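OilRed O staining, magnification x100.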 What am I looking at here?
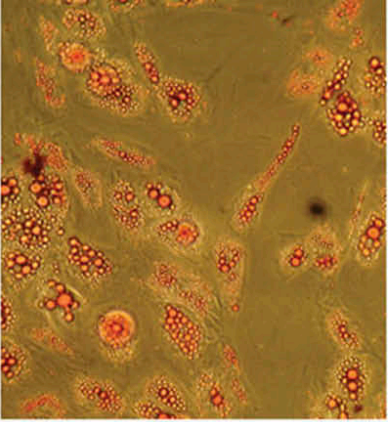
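These are cultured fat-forming cells, many of which have become rounded and filled with lipid droplets that stain orange-red. The droplets range from small beads to large globules that occupy much of a cell. Between the laden cells lie a few flatter, elongated cells with little or no red stain. The cells are scattered rather than forming a continuous sheet of spindles.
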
